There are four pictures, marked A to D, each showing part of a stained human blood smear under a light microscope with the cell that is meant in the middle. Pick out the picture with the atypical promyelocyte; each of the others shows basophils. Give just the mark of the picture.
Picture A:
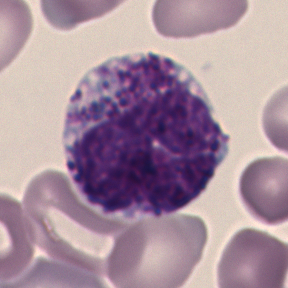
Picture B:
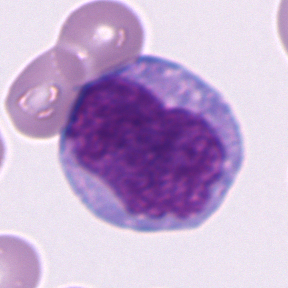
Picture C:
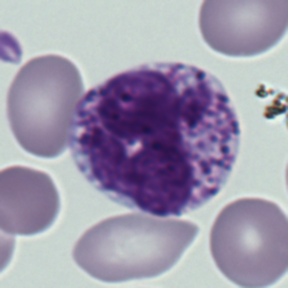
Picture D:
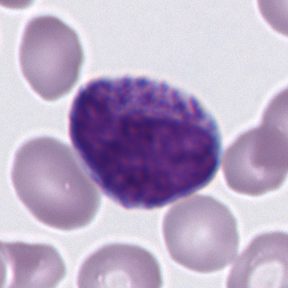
B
